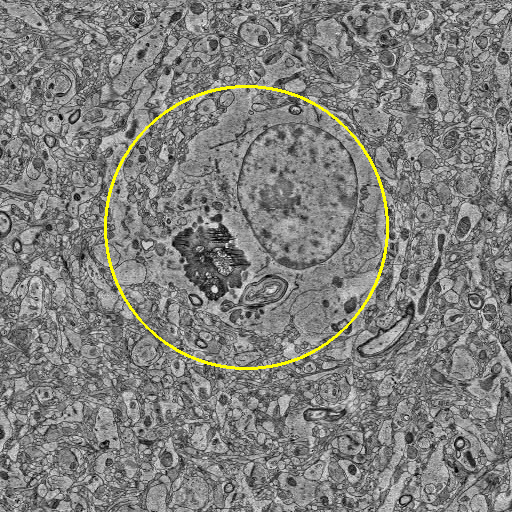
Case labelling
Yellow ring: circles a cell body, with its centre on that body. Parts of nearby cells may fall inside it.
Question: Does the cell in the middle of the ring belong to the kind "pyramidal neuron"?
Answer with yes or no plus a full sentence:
No, in this picture the cell in the middle of the yellow ring belongs to a different kind.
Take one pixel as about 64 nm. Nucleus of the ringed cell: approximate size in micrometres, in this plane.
Roughly 10 by 8 micrometres in this plane, for the nucleus of the ringed cell.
